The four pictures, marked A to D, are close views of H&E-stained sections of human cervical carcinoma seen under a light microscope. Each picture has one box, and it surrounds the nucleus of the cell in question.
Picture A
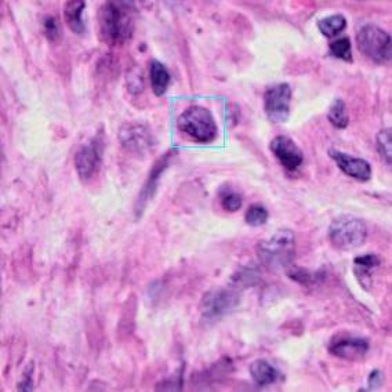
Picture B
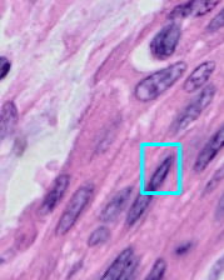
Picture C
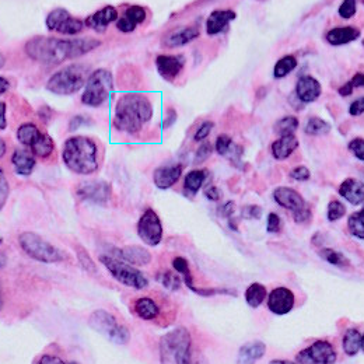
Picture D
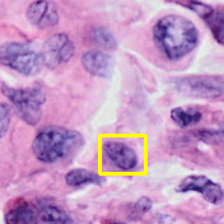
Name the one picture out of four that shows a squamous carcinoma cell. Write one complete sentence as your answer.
Picture B is the one that shows the squamous carcinoma cell.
